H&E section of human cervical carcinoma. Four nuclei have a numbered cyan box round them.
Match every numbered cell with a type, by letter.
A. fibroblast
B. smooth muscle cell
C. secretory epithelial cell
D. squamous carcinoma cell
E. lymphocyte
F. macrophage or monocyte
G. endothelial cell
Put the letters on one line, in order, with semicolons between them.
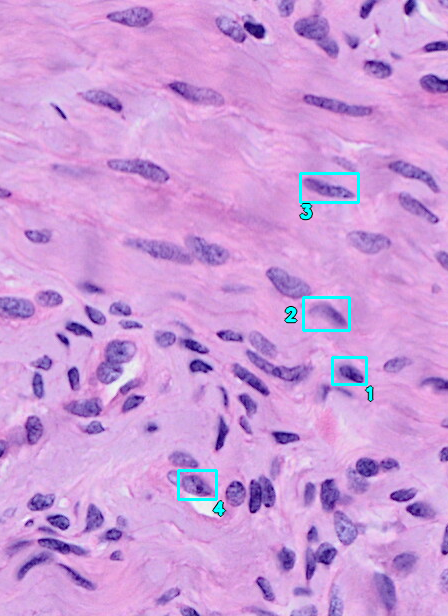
A; A; A; G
